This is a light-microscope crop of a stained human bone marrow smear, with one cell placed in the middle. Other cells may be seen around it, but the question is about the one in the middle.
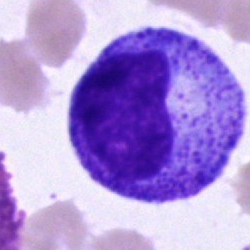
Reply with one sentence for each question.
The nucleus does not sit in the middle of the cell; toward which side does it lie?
The nucleus lies toward the left of the cell.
